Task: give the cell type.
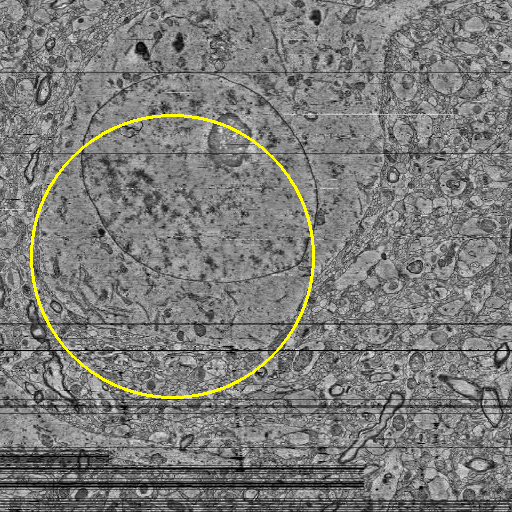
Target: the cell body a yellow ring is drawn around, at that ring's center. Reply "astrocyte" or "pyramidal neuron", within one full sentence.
In this picture, the cell whose body lies at the ring's center is a pyramidal neuron.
